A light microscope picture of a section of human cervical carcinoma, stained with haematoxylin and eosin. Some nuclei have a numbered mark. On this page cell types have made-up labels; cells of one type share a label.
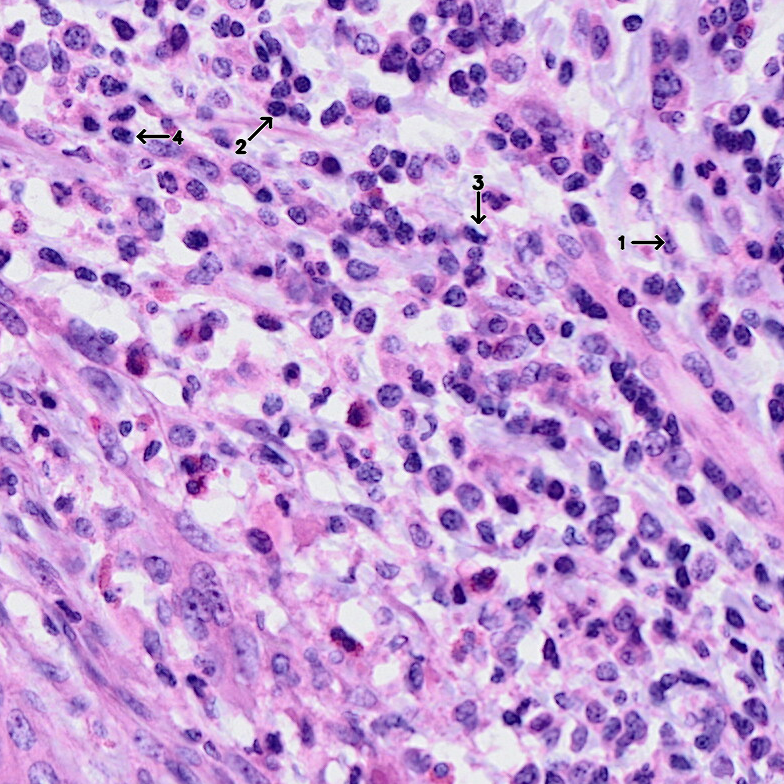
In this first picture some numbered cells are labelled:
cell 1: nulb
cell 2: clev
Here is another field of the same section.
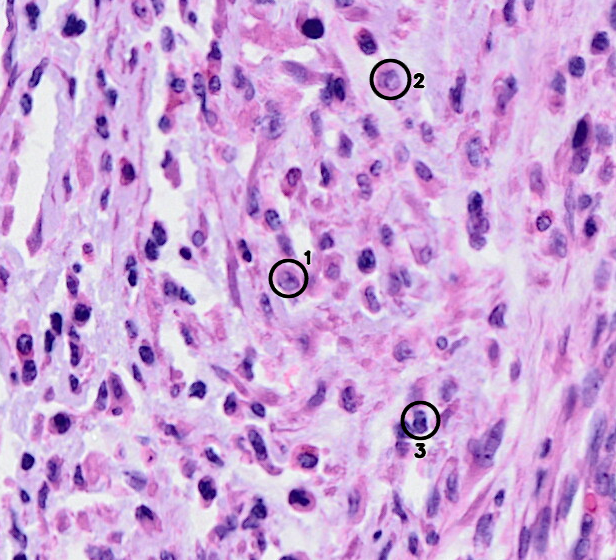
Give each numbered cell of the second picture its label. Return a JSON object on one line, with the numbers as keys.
{"1": "nulb", "2": "nulb", "3": "clev"}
